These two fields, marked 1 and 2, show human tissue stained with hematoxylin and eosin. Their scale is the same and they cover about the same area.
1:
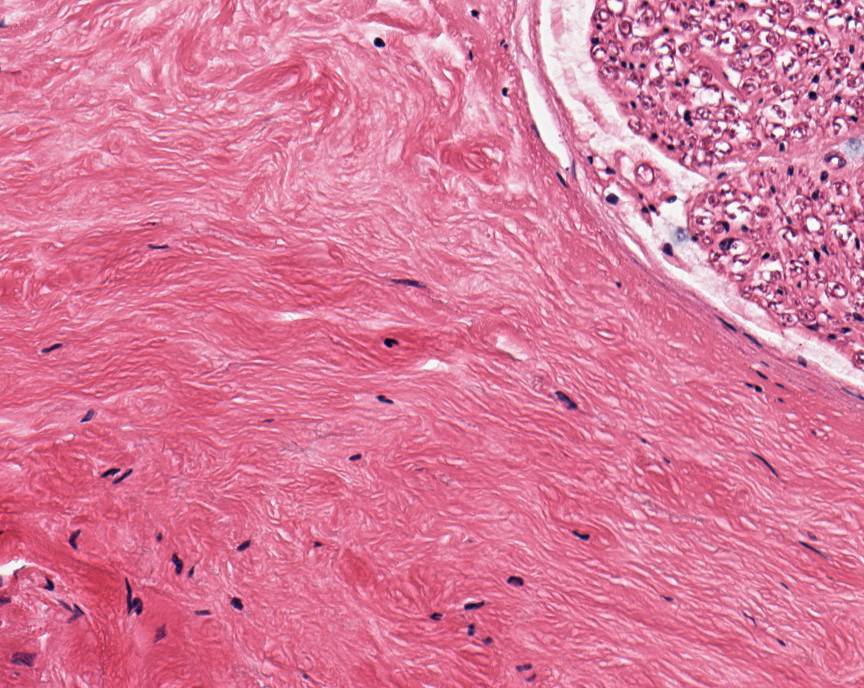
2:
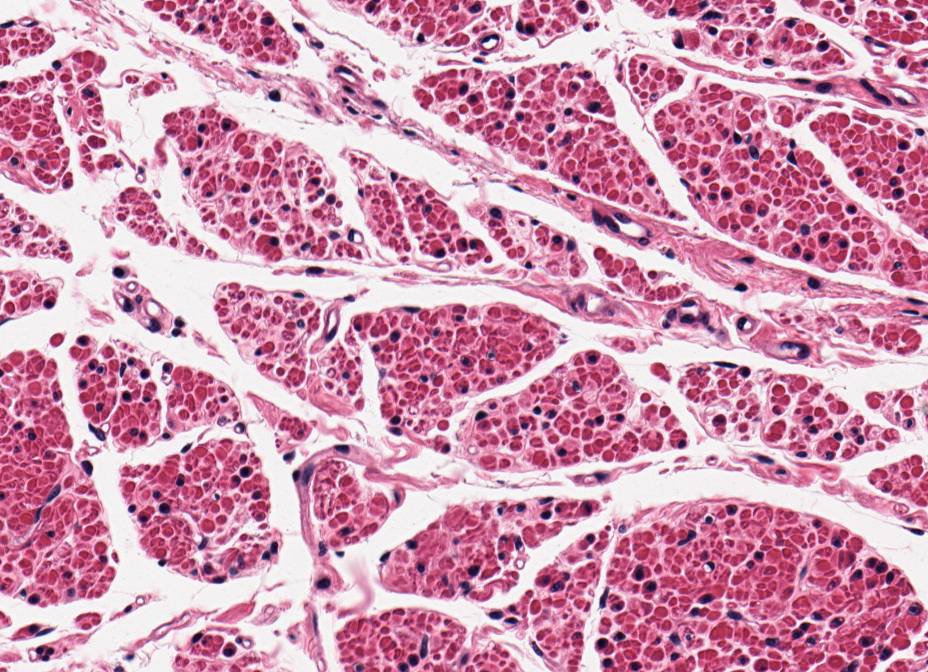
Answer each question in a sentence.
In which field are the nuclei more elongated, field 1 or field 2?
The nuclei are more elongated in field 1.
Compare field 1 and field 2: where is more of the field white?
Unstained space takes up more of field 2 than of field 1.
